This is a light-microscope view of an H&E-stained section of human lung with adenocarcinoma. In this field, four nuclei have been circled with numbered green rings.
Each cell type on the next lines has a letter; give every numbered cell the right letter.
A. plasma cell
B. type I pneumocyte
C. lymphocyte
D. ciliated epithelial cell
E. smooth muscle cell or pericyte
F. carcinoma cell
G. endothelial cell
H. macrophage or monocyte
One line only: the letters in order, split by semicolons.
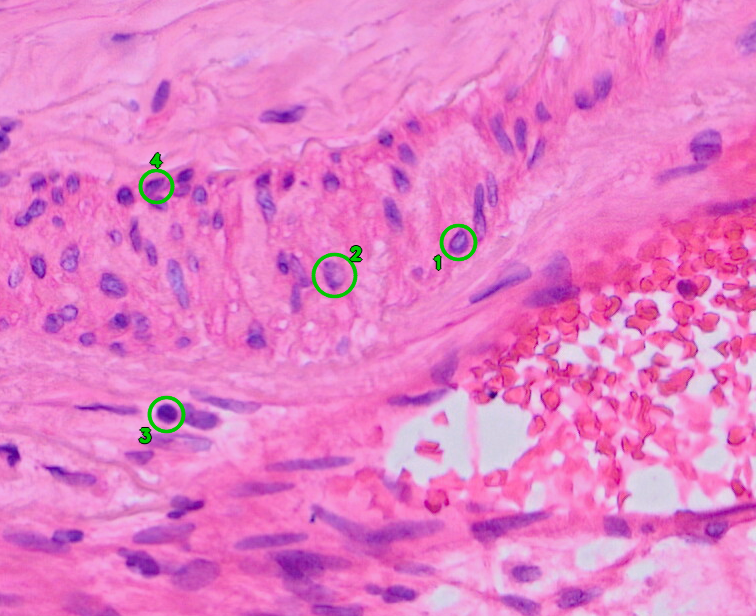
E; E; C; E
